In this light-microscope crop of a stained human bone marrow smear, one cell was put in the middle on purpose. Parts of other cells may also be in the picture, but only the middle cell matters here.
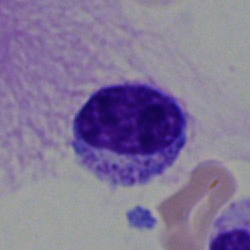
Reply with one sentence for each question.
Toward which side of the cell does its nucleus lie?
The nucleus lies toward the top of the cell.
